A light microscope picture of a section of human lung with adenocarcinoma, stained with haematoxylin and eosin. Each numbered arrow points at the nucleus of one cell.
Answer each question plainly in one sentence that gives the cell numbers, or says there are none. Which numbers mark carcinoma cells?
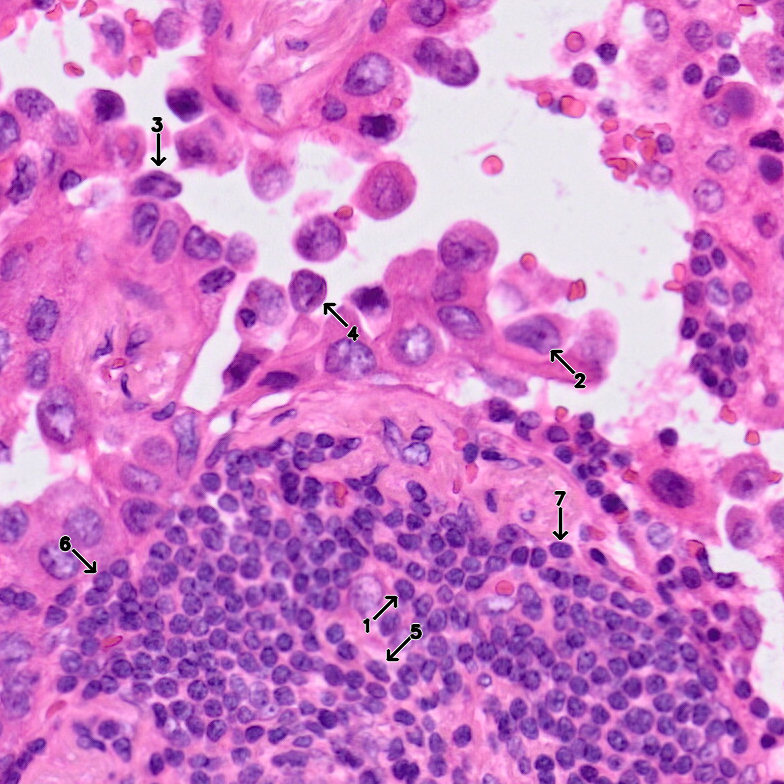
The cells marked 2, 3 and 4 in the section are carcinoma cells.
